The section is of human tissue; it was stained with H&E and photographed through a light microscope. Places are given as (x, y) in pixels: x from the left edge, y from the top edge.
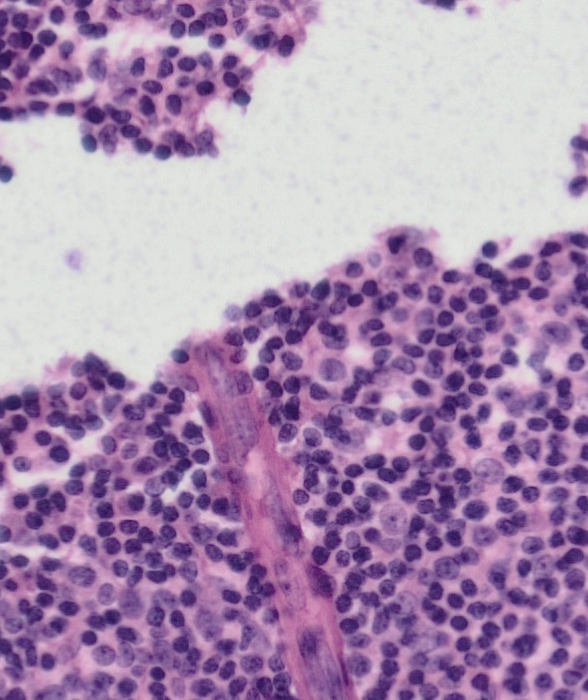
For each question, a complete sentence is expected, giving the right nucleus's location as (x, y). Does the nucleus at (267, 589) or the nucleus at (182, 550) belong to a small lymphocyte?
The nucleus at (182, 550) is the member of the pair belonging to a small lymphocyte.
